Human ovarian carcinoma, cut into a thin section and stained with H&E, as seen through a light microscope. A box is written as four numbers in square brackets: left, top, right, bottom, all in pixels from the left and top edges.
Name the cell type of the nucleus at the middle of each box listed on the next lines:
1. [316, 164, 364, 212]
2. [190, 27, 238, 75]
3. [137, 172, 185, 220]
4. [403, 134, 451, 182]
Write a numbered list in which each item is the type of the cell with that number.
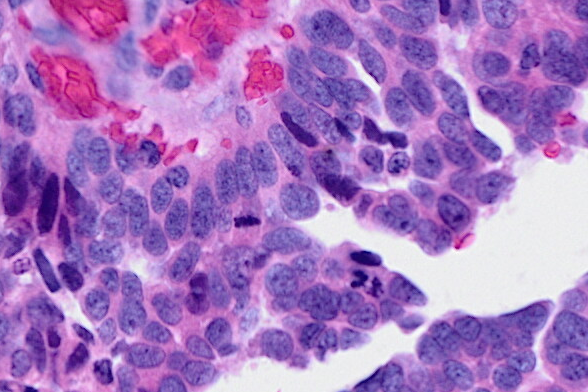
1. carcinoma cell
2. endothelial cell
3. carcinoma cell
4. carcinoma cell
